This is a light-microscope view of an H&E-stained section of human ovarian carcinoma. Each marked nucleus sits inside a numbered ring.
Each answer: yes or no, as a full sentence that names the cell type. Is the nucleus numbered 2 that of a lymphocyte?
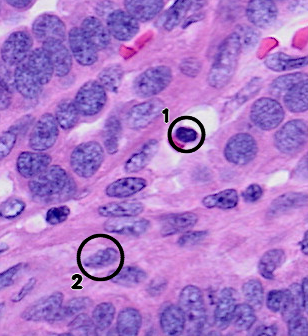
No, the cell labelled number 2 is not a lymphocyte; it is a fibroblast.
